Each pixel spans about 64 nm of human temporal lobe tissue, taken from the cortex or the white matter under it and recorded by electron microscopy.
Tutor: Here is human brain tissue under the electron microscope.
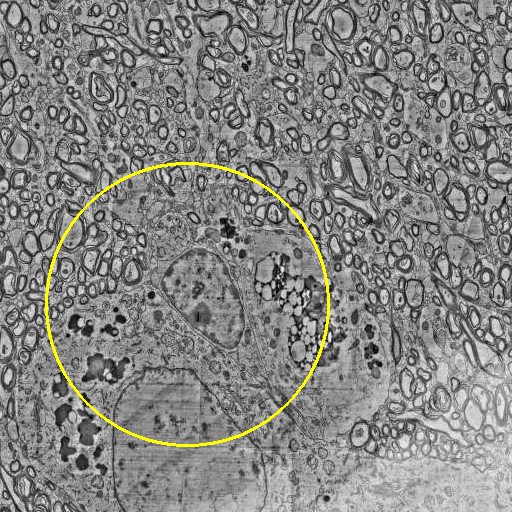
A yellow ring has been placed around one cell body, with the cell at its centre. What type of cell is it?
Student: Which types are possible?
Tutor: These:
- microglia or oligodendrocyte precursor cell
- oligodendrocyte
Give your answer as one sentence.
What the ring picks out here is a microglial cell or oligodendrocyte precursor cell.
